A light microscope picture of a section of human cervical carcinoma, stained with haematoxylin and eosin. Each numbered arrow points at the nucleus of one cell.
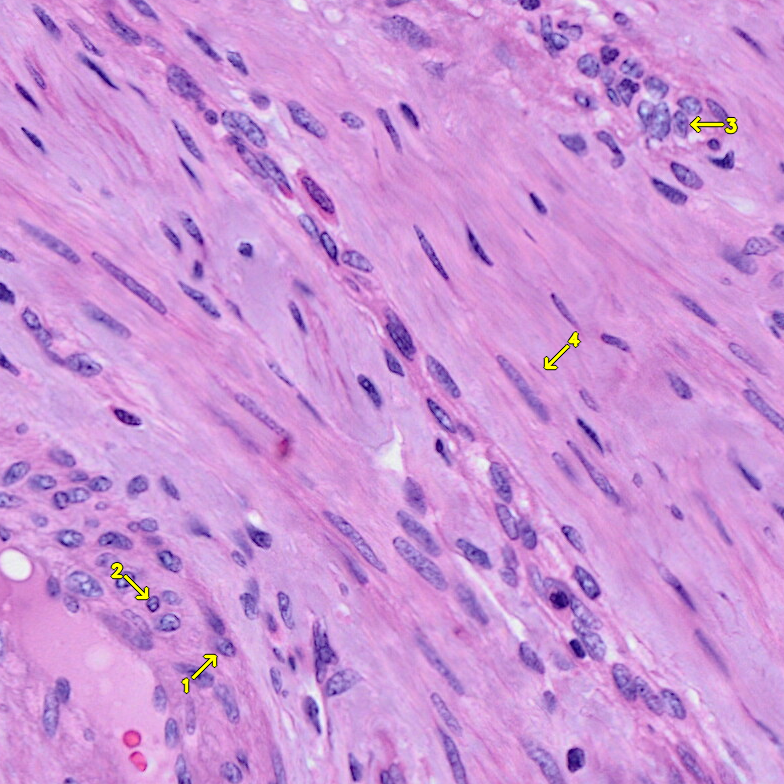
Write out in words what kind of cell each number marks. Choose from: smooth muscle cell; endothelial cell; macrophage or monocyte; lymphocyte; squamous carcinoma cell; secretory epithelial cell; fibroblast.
Cell 1 is a smooth muscle cell, cell 2 is a smooth muscle cell, cell 3 is an endothelial cell and cell 4 is a smooth muscle cell.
